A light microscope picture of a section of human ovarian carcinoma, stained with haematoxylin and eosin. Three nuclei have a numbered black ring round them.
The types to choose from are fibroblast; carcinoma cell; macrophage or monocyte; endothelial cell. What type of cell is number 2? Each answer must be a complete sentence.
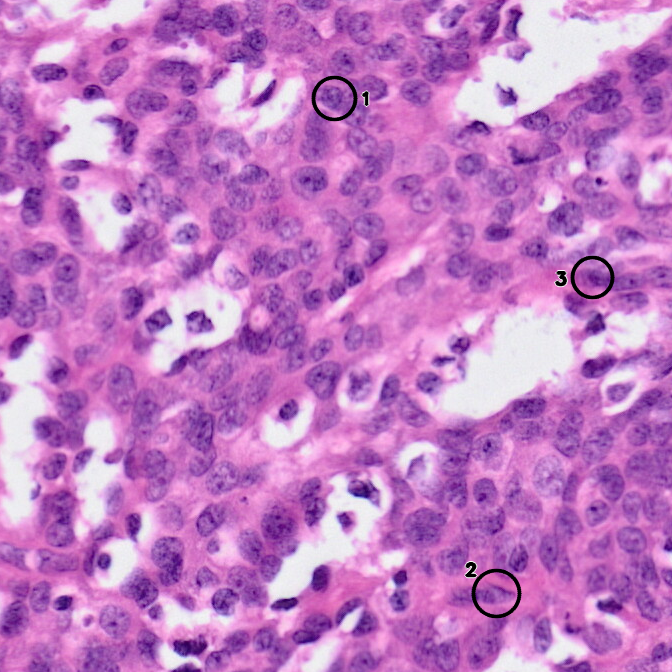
The nucleus with number 2 is that of an endothelial cell.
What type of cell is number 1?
Of the numbered cells, the one labelled 1 is a carcinoma cell.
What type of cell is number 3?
To a carcinoma cell belongs the nucleus marked 3.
